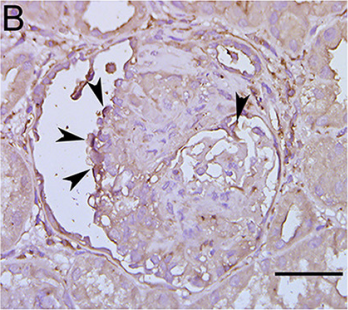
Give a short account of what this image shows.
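A renal glomerulus is shown, its capillary tuft surrounded by a capsule and a wide, clear urinary space on the left. Cells on the outer surface of the tuft, facing the urinary space, carry brown stain, and some of them are marked by arrowheads. The capsule around the glomerulus appears thickened and layered, and tubules lie outside it.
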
